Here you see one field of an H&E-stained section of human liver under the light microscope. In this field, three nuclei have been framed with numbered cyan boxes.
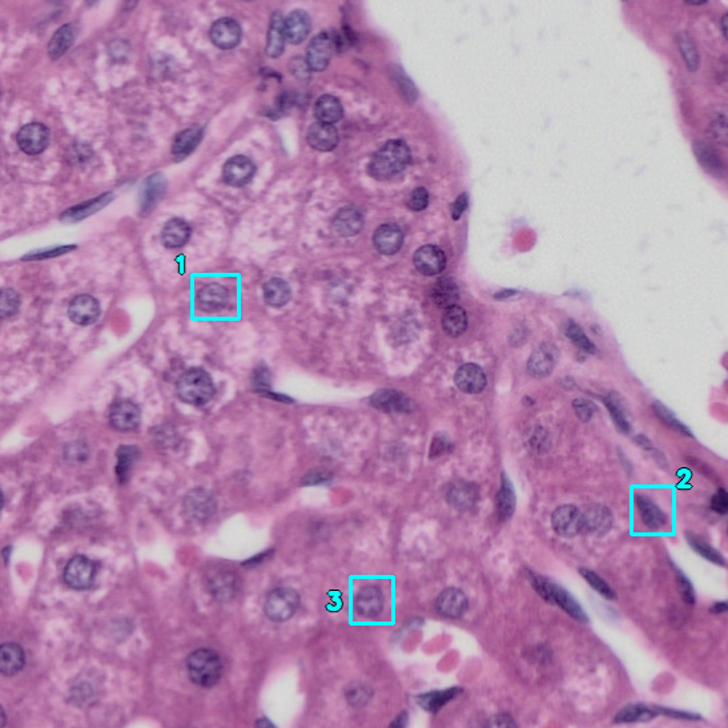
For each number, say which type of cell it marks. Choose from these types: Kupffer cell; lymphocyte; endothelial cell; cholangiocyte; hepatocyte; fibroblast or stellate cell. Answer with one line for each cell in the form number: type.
1: hepatocyte
2: fibroblast or stellate cell
3: hepatocyte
